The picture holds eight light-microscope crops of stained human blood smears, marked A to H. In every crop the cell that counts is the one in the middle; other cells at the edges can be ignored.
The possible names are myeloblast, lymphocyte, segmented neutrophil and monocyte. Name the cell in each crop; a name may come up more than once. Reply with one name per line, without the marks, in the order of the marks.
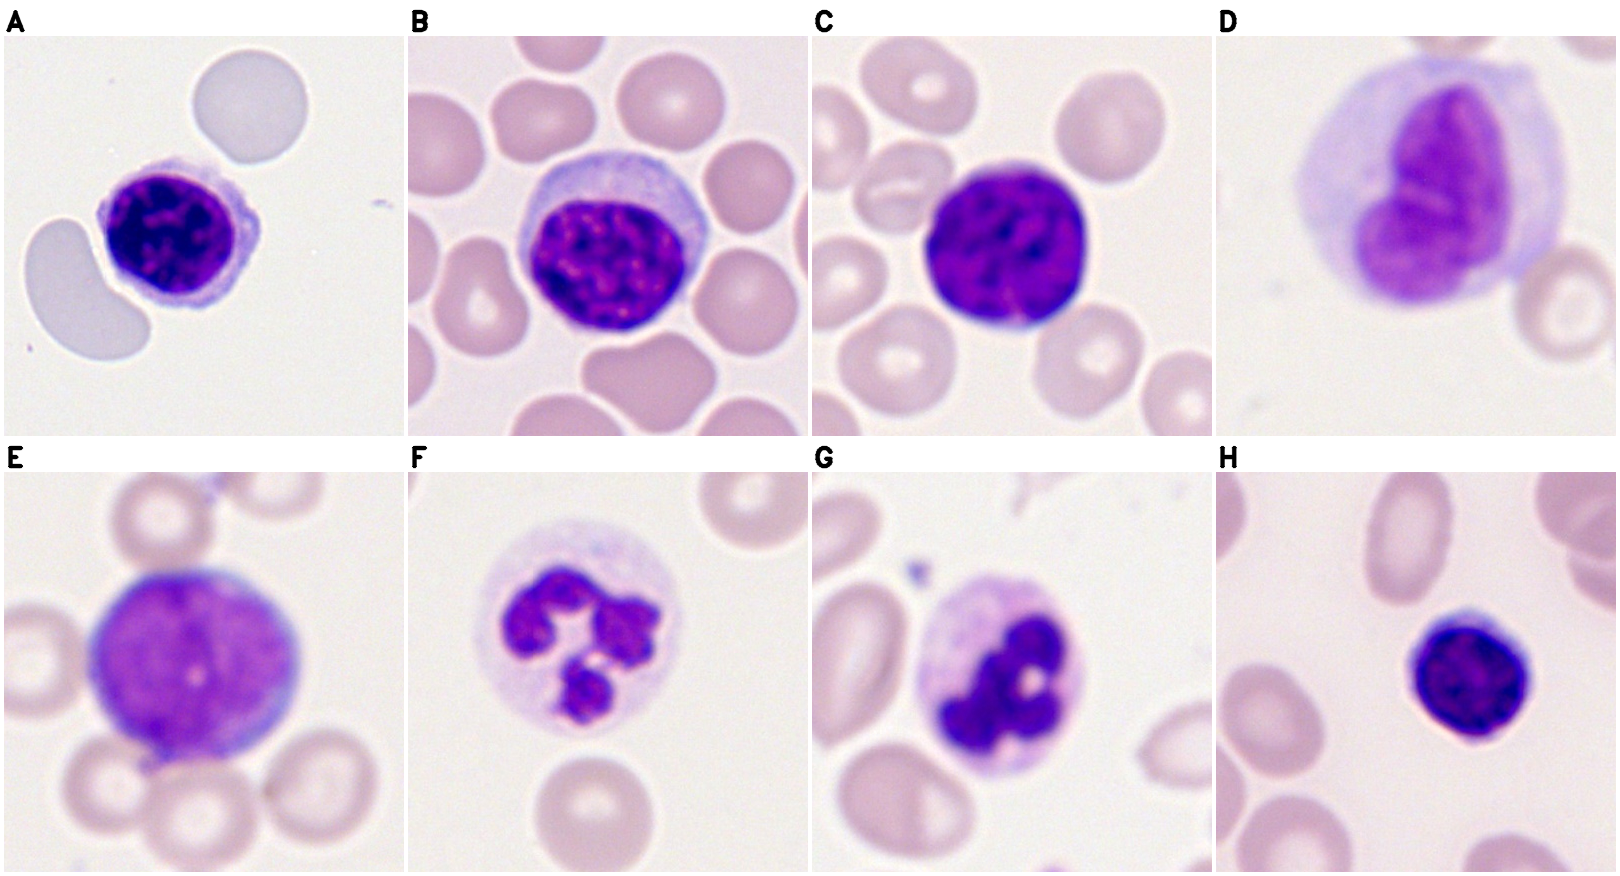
lymphocyte
lymphocyte
myeloblast
monocyte
myeloblast
segmented neutrophil
segmented neutrophil
lymphocyte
